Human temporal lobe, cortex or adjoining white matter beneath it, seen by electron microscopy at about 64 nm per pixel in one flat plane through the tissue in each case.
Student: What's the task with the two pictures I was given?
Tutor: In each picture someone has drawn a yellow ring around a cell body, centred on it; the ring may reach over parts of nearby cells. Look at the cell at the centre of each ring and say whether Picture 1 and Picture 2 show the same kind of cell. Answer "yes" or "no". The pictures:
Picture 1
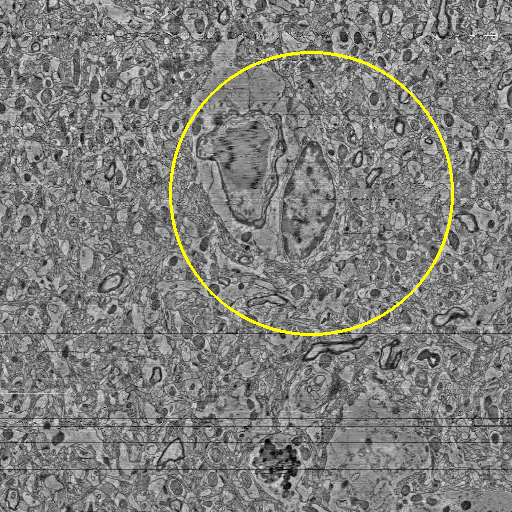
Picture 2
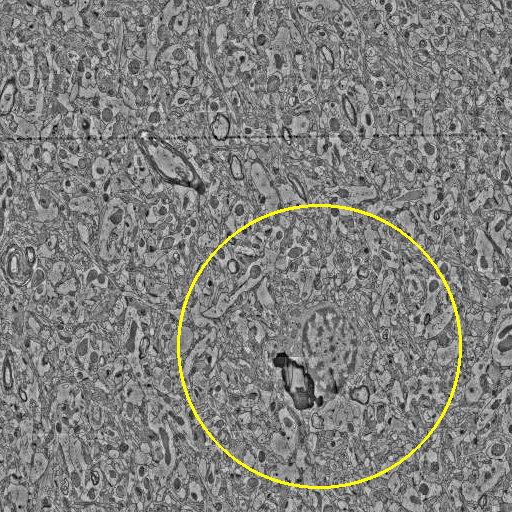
no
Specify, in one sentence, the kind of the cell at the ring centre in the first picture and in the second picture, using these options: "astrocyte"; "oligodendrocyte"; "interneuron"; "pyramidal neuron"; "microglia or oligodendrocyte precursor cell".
So the first is a microglial cell or oligodendrocyte precursor cell, the second an oligodendrocyte.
